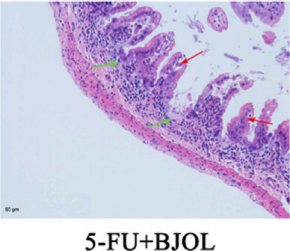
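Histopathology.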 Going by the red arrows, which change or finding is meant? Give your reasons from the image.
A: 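Shortened intestinal villus. Several mucosal projections are short with ragged tips. The red arrows point at the tips of these projections.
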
